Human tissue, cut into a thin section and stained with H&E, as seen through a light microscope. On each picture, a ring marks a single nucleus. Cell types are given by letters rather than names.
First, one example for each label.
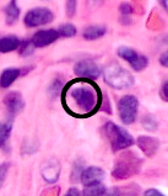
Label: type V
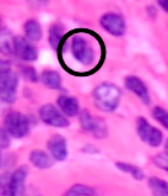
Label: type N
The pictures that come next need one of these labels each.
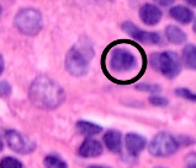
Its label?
type N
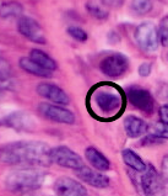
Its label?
type V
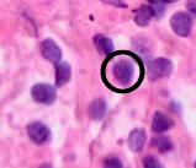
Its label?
type N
